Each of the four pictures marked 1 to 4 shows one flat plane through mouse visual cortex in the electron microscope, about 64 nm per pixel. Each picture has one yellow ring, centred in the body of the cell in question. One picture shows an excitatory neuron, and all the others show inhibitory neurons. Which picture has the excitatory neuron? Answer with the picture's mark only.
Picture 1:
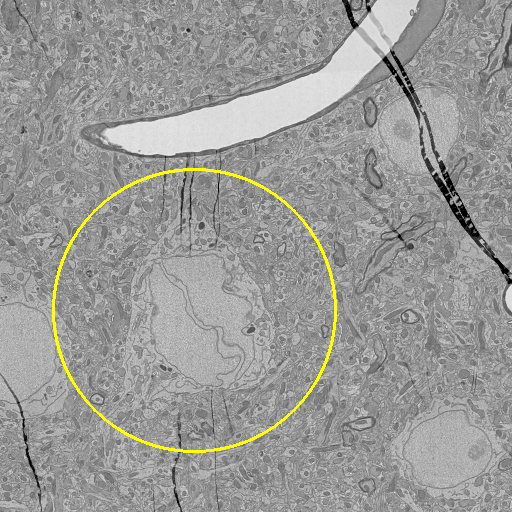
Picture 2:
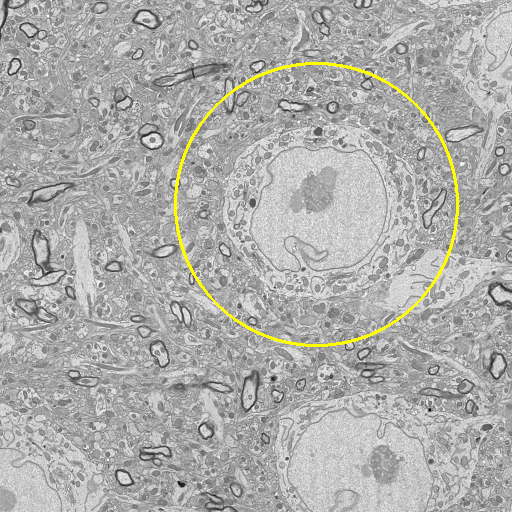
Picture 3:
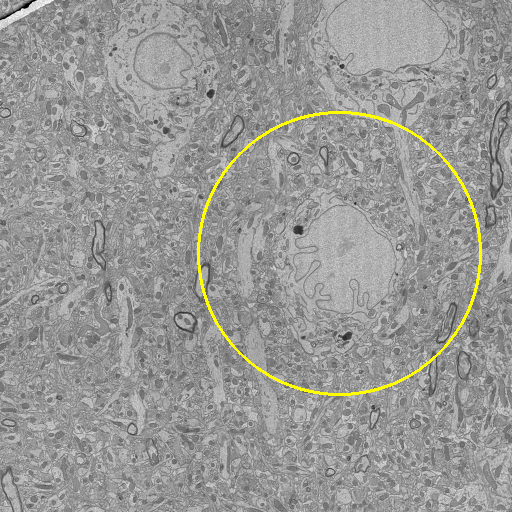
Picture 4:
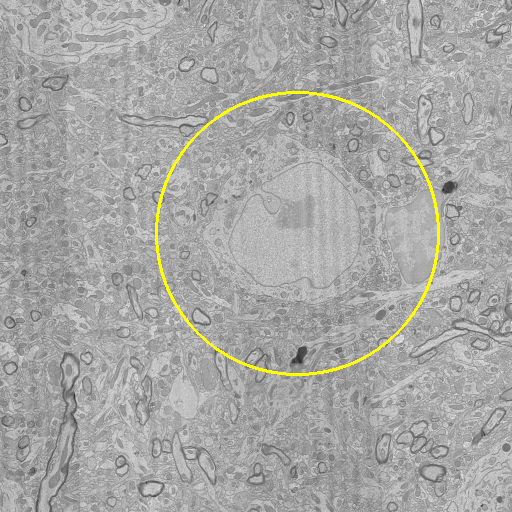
4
